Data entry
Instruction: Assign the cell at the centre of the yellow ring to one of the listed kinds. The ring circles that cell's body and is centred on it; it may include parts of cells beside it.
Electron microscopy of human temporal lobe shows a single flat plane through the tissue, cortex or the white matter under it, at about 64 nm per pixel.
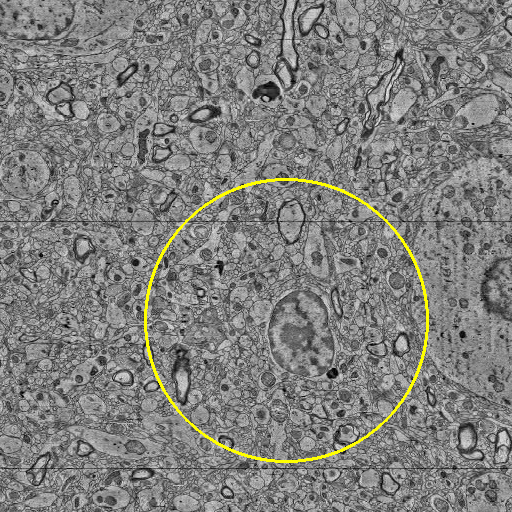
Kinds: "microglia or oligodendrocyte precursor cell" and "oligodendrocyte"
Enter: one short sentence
The centre of the ring falls on a microglial cell or oligodendrocyte precursor cell.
